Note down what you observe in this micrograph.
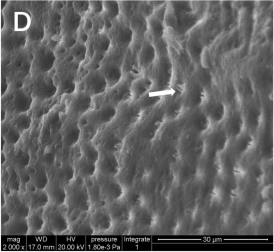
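The openings are funnel-shaped and separated by smooth, rounded ridges of intertubular matrix. Some openings contain small slit-like remnants near their centre. The surface is uneven and eroded rather than flat.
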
